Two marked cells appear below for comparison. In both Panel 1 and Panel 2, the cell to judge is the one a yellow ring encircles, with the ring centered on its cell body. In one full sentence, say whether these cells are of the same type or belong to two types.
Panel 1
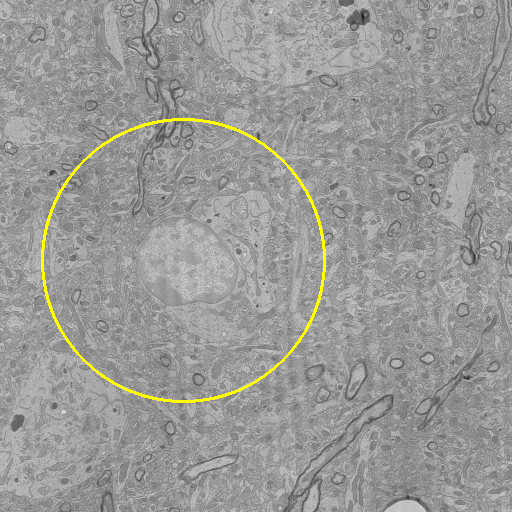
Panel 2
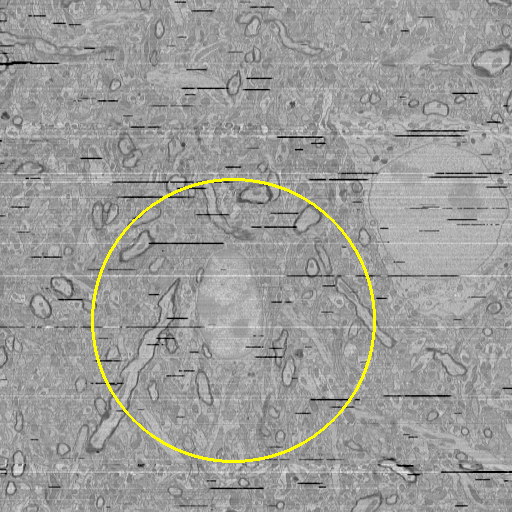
The cell centered in the Panel 1 ring and the one in Panel 2 are of the same type.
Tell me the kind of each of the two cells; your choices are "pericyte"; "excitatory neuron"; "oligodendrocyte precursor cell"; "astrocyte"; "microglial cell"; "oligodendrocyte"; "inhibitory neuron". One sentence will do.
Each of the two pictures has an oligodendrocyte at the ring centre.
